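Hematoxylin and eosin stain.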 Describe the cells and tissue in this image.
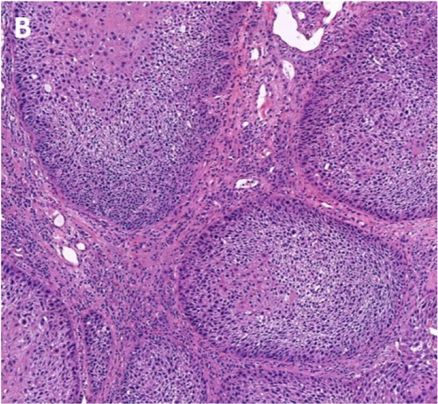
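This is a carcinoma growing as large, rounded nests of crowded epithelial tumor cells, cut across so each nest looks like a purple island. Inside the nests the cells are packed closely, with oval, darkly stained nuclei and only a little pale pink cytoplasm, so the nests look more purple than pink. No whorls of pink keratin are formed in the middle of the nests. Between the nests run bands of pink fibrous stroma carrying small blood vessels and spindle-shaped stromal cells.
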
